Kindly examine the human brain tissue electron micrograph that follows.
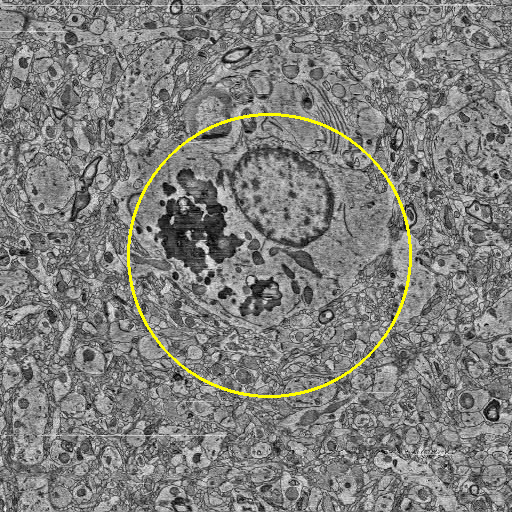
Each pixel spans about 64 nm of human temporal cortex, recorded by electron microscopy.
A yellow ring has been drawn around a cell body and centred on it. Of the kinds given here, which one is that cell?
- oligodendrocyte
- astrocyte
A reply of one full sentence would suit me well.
The micrograph's ringed cell, the one at the ring's centre, is an astrocyte.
